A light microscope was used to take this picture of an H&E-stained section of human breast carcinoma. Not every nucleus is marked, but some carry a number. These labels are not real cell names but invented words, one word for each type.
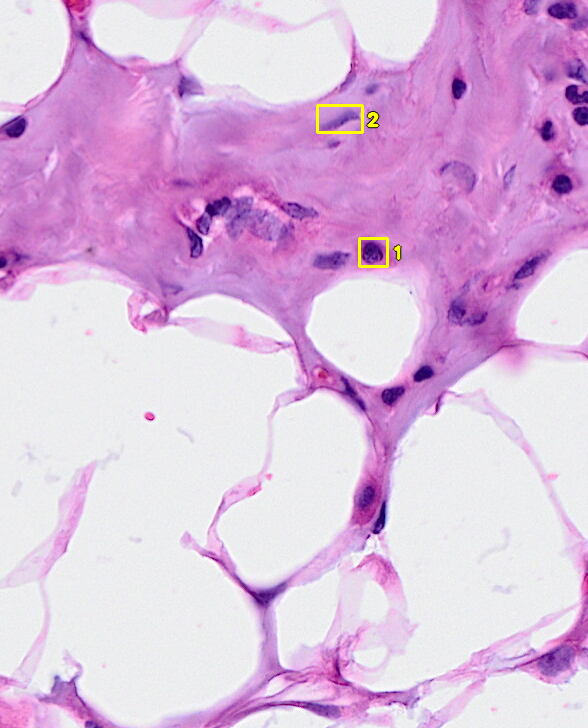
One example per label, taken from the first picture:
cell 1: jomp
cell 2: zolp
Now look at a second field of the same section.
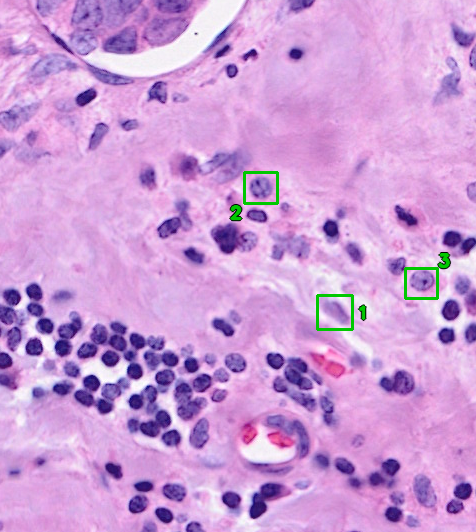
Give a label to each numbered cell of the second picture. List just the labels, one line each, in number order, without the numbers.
zolp
jomp
jomp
